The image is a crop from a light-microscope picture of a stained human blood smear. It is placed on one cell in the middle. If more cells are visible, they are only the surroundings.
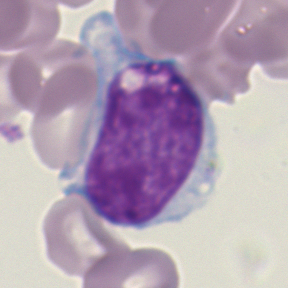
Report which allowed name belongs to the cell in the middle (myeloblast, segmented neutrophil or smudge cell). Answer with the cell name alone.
myeloblast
